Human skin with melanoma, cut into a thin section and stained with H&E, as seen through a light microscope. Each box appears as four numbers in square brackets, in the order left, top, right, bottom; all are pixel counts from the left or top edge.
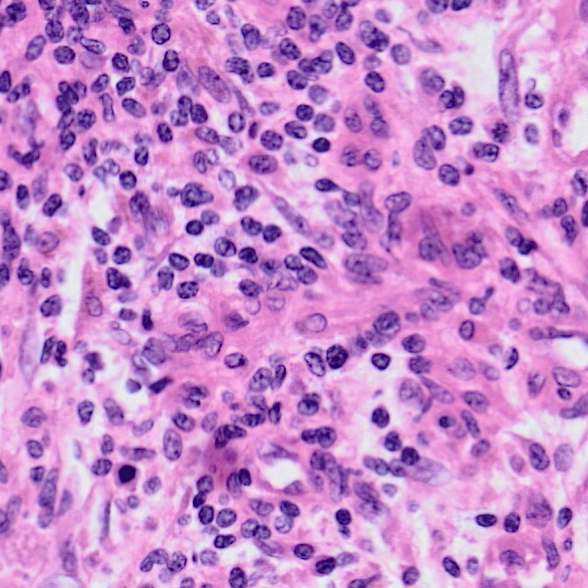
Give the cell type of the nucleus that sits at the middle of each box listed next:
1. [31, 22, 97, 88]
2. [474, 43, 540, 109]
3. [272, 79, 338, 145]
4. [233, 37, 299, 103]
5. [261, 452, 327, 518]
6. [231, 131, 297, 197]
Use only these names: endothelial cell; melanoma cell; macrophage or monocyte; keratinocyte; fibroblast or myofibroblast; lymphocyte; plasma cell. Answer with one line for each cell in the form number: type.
1: lymphocyte
2: fibroblast or myofibroblast
3: lymphocyte
4: lymphocyte
5: endothelial cell
6: macrophage or monocyte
